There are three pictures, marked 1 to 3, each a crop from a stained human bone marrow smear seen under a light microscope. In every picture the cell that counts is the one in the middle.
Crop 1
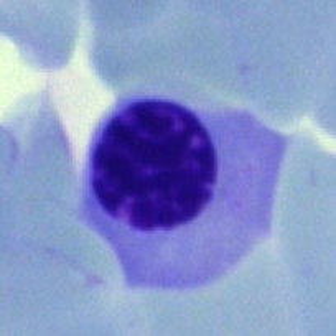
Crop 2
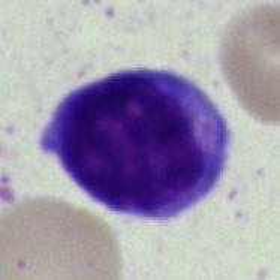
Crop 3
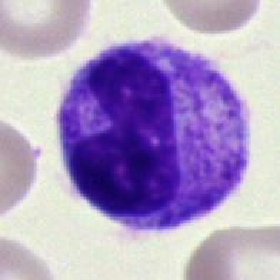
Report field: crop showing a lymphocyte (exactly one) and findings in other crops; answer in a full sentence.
Depicted in crop 2 is a lymphocyte, while crop 1 is a normoblast and crop 3 is a band neutrophil.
